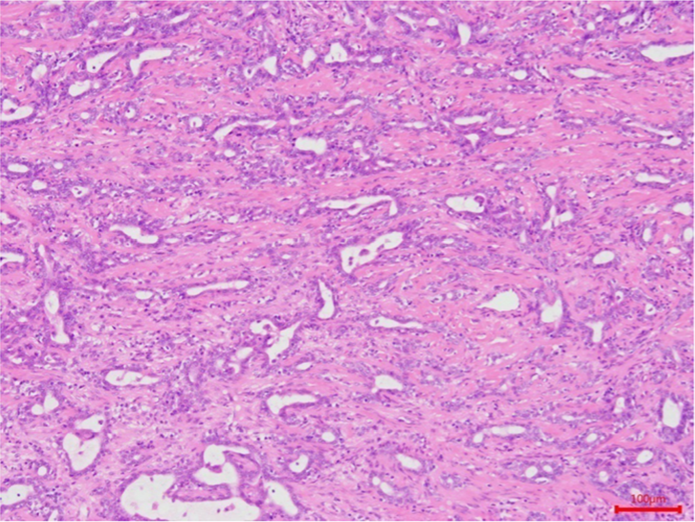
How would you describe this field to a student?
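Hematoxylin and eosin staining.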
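Many small tubules and elongated gland-like spaces are scattered through abundant pink fibrous stroma. They are lined by small cells with dark purple, fairly uniform nuclei and scant cytoplasm. The stroma is dense and streaming, with scattered spindle-shaped nuclei. No large solid sheets of cells are seen.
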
